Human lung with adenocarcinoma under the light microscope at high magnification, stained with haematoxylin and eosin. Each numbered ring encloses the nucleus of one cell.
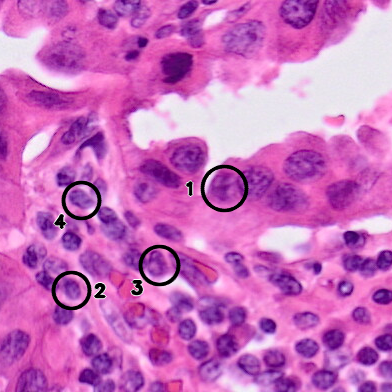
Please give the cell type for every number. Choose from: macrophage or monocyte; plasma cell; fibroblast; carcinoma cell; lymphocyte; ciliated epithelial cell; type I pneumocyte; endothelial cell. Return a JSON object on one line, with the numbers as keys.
{"1": "carcinoma cell", "2": "lymphocyte", "3": "lymphocyte", "4": "lymphocyte"}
